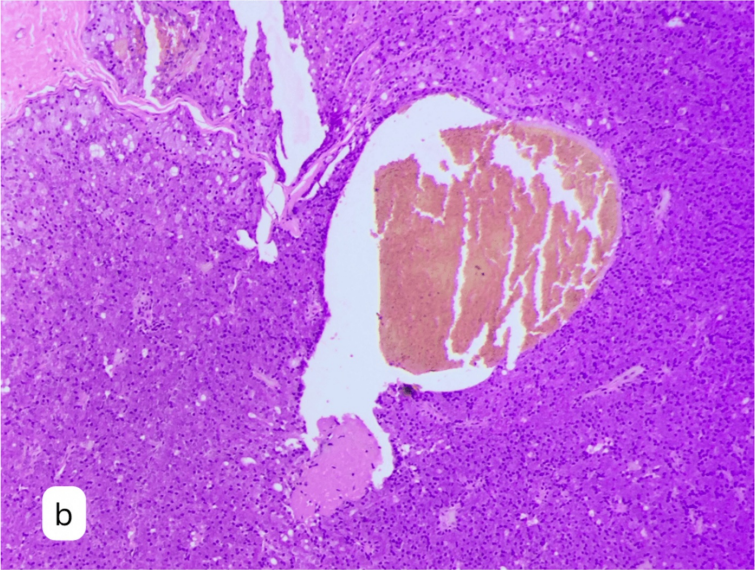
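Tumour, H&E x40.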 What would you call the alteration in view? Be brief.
Hemorrhagic fluid.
